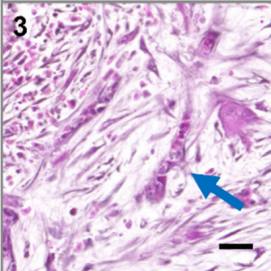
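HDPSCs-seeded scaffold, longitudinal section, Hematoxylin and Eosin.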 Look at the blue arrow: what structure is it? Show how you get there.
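The arrow points to a narrow tube-like channel among spindle-shaped cells. Small pink cells with dark nuclei lie in a row inside the channel. On this evidence: capillaries.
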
